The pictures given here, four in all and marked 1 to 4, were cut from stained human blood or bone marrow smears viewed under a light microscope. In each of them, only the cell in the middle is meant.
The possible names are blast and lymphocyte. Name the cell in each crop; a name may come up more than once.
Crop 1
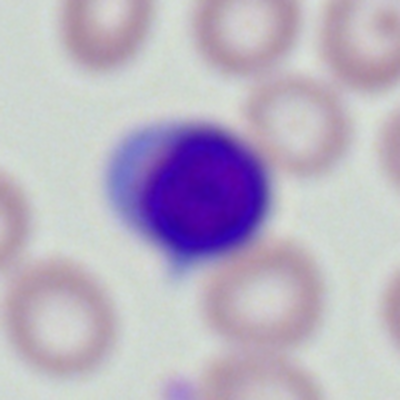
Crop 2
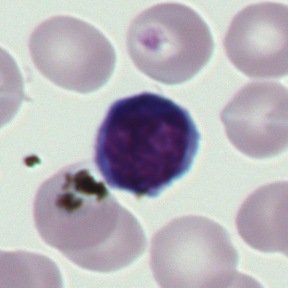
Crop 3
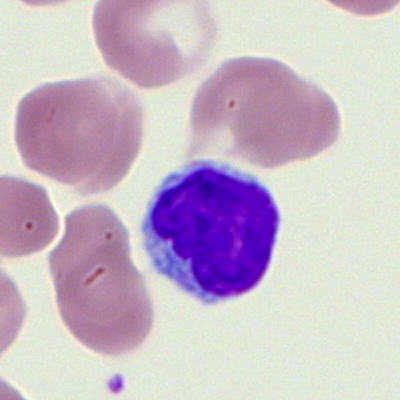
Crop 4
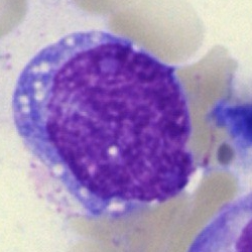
1: lymphocyte
2: lymphocyte
3: lymphocyte
4: blast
